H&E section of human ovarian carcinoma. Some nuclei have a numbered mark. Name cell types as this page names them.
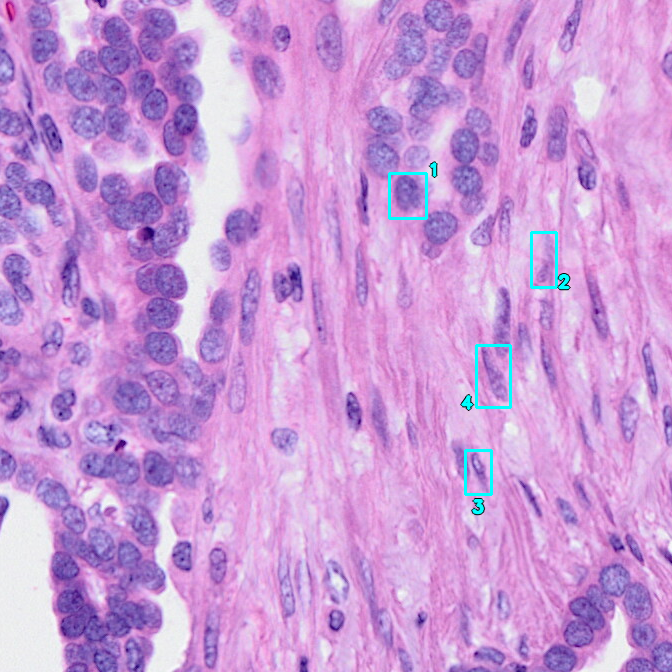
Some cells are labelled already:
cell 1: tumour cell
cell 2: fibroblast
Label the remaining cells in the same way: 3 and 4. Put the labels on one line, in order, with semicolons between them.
fibroblast; fibroblast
